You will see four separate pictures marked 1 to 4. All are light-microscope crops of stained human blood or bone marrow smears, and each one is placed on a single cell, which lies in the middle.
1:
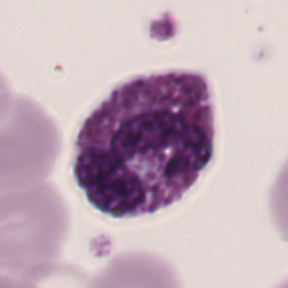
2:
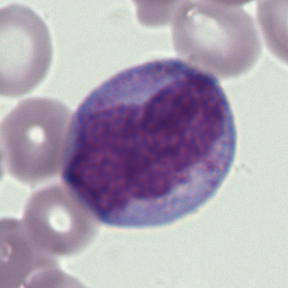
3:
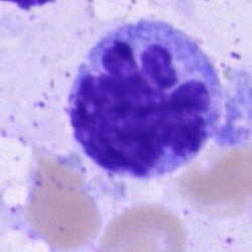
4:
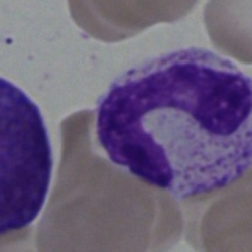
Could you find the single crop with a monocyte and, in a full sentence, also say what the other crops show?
Crop 3 shows a monocyte, and as for the other crops, crop 1 is an eosinophil, crop 2 is a promyelocyte and crop 4 is a band neutrophil.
